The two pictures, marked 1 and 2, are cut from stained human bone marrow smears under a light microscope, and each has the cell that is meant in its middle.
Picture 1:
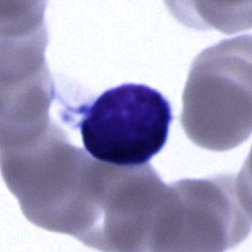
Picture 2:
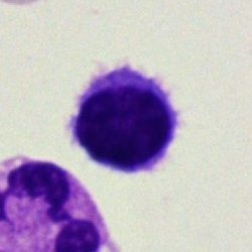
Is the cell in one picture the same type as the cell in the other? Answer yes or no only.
yes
